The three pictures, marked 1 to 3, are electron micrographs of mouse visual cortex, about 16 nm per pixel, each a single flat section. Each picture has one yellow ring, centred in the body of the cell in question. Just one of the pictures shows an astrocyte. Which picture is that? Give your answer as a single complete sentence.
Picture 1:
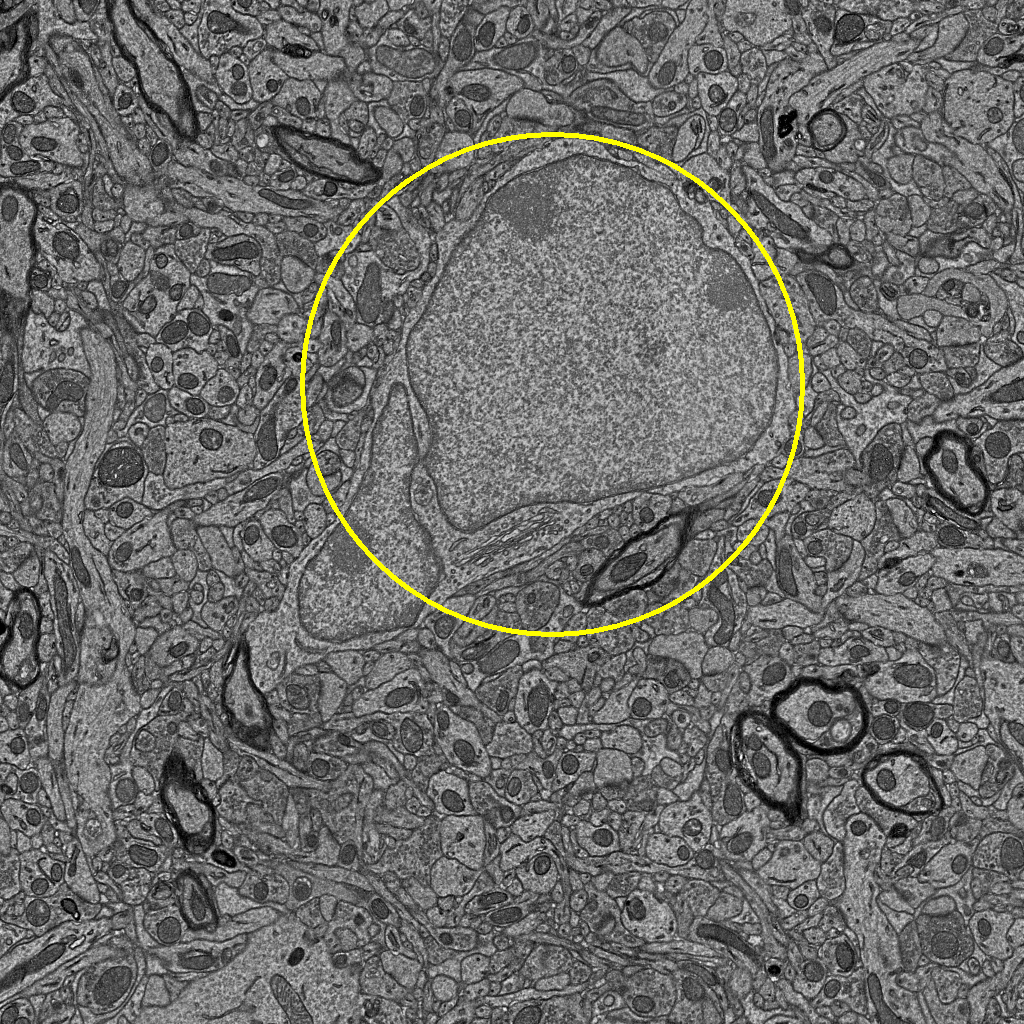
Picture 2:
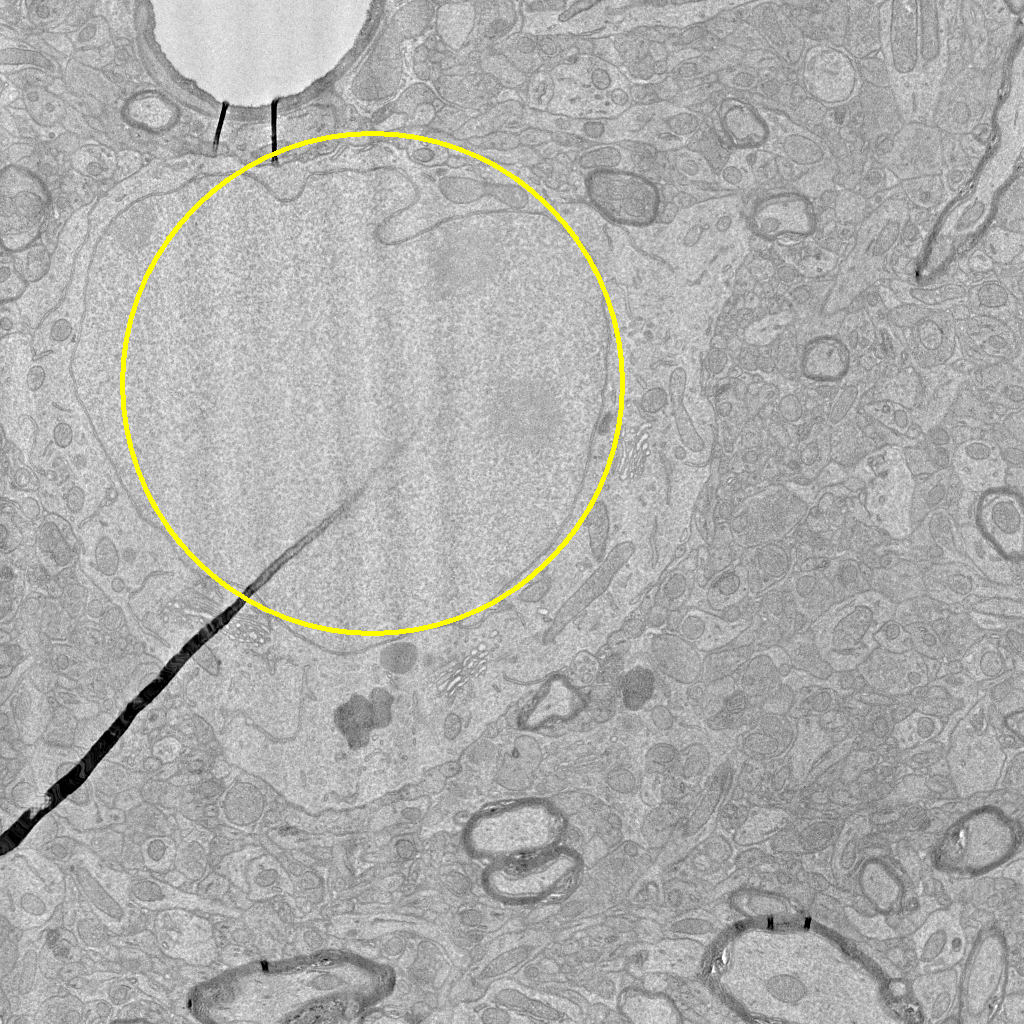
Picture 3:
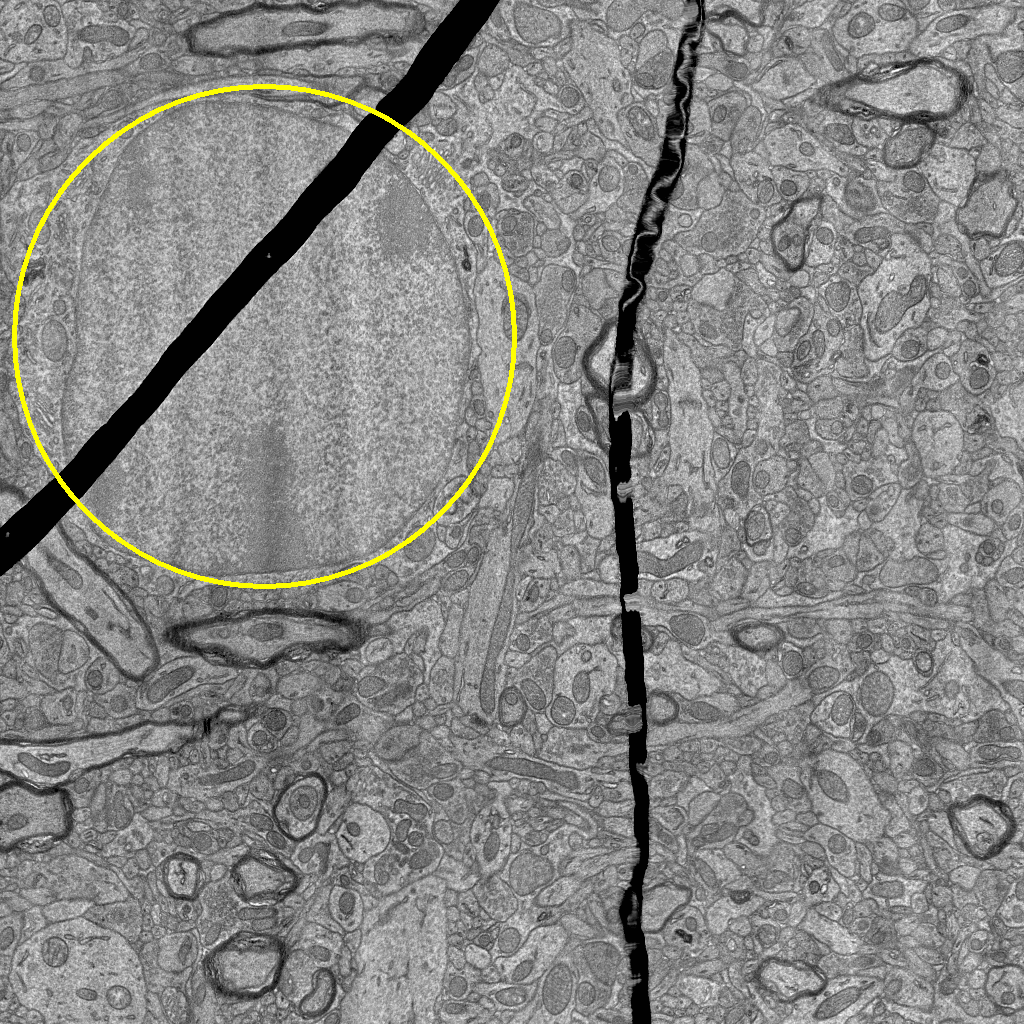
The cell in picture 3 is the astrocyte.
